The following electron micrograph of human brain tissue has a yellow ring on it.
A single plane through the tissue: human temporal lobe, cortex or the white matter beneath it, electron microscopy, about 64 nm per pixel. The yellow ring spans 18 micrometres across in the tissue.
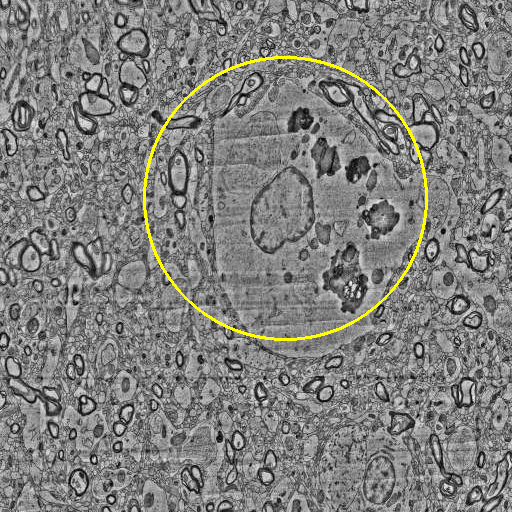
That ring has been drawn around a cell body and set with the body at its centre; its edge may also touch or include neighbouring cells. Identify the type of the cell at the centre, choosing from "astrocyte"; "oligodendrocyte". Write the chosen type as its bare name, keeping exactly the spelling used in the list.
astrocyte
